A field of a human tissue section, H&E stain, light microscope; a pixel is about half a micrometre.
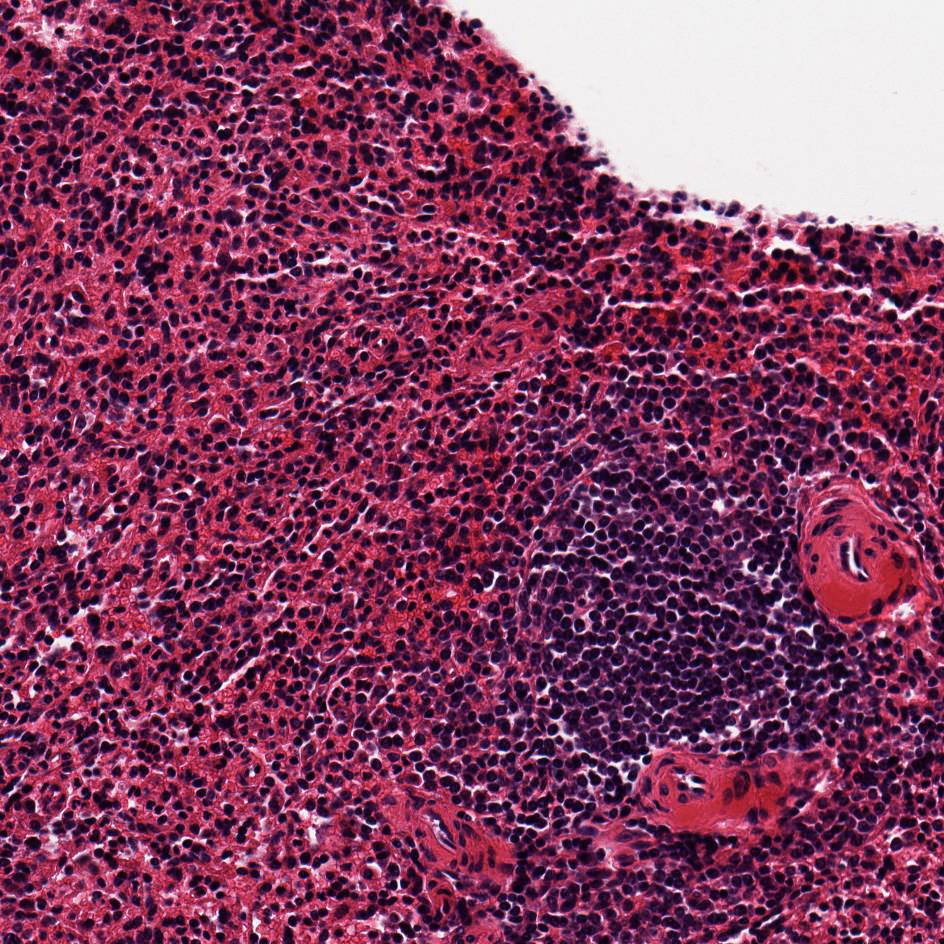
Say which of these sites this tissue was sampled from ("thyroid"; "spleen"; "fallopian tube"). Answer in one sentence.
The site this tissue was sampled from is the spleen.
